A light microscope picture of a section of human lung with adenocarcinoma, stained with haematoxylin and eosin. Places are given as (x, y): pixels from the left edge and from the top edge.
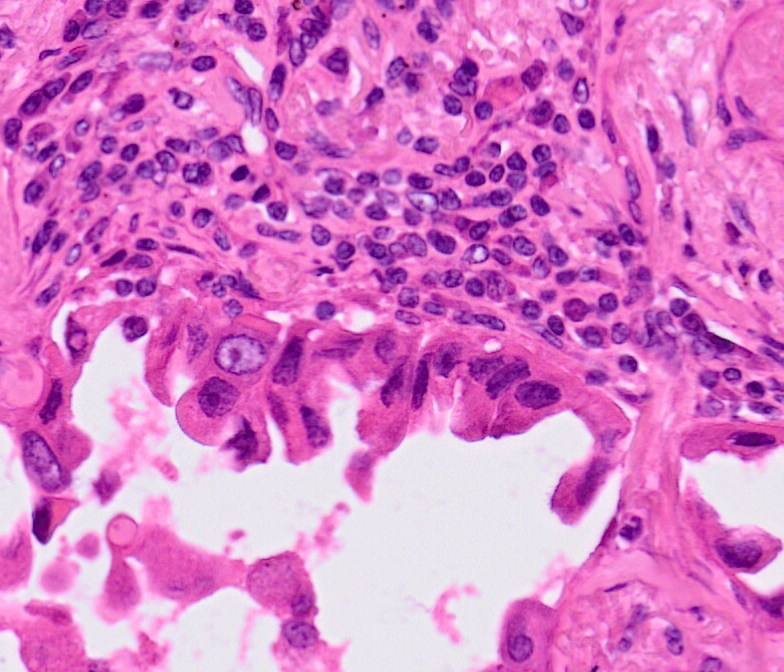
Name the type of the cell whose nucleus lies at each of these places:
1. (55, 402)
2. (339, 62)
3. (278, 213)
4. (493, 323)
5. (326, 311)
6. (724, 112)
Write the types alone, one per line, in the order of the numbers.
carcinoma cell
plasma cell
lymphocyte
lymphocyte
lymphocyte
smooth muscle cell or pericyte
